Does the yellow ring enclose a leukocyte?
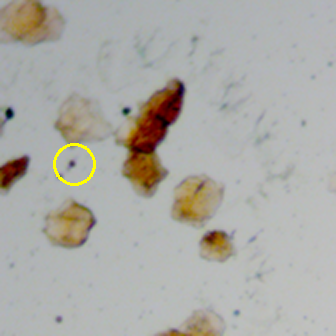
Yes. The ring encloses a leukocyte.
